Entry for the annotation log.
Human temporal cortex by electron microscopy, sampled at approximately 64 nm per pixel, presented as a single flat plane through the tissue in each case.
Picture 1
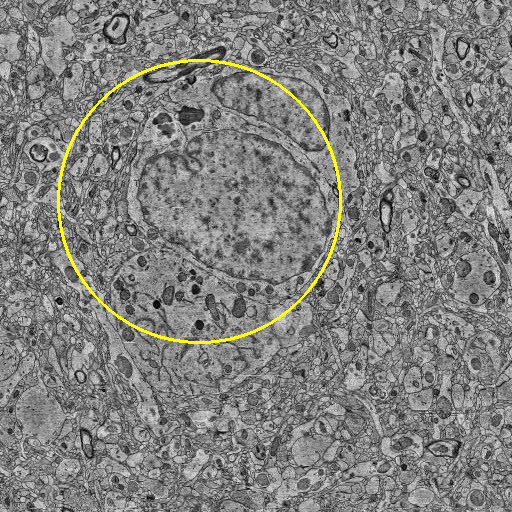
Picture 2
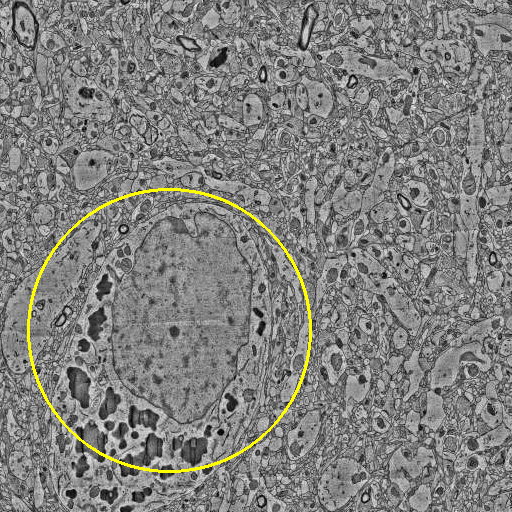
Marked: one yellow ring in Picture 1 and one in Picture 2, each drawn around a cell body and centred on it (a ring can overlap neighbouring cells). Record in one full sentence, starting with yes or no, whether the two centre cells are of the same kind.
Yes, both cells are of the same kind.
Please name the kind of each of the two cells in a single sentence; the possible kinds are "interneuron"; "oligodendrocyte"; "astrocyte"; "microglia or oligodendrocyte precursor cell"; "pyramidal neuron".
Each of the two rings is centred on an interneuron.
